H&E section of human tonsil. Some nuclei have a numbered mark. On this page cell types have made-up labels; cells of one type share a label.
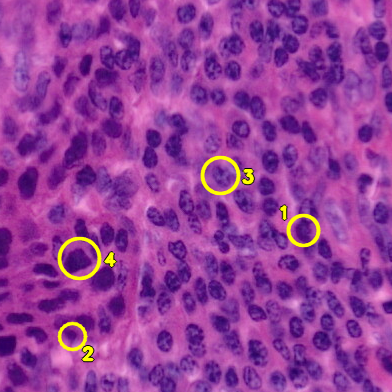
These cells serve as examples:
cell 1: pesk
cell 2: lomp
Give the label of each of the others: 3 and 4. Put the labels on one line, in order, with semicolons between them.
pesk; lomp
